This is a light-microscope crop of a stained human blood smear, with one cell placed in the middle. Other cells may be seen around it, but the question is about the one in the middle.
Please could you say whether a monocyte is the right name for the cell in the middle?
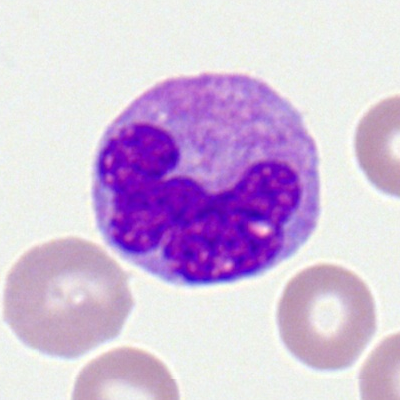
yes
